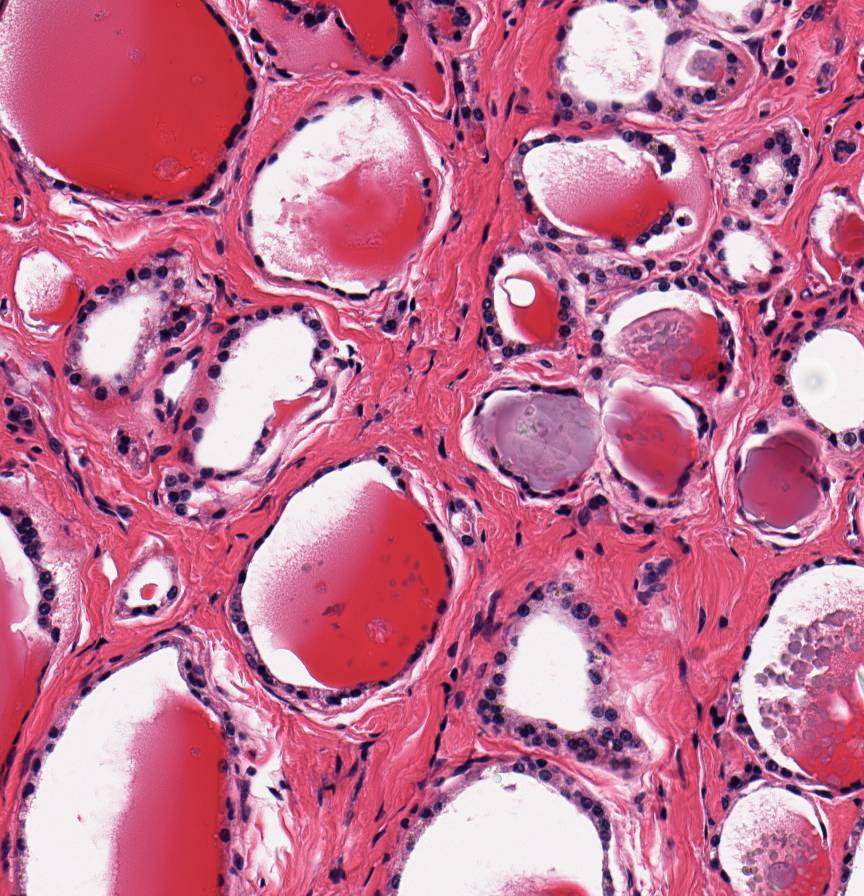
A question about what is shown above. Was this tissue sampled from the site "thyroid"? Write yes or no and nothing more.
yes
